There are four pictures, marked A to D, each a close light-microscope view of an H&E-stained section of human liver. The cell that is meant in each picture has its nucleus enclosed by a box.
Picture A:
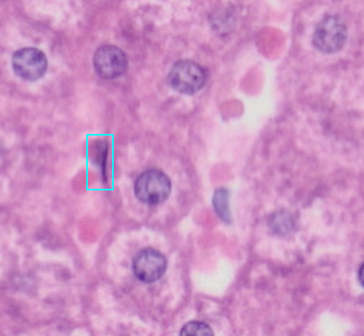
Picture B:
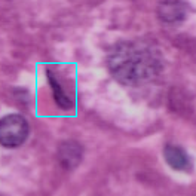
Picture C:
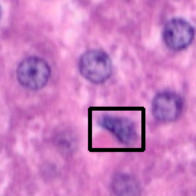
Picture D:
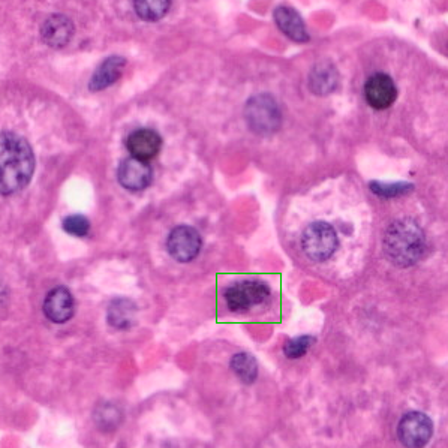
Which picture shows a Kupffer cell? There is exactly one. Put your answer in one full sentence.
The picture with the Kupffer cell is D.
